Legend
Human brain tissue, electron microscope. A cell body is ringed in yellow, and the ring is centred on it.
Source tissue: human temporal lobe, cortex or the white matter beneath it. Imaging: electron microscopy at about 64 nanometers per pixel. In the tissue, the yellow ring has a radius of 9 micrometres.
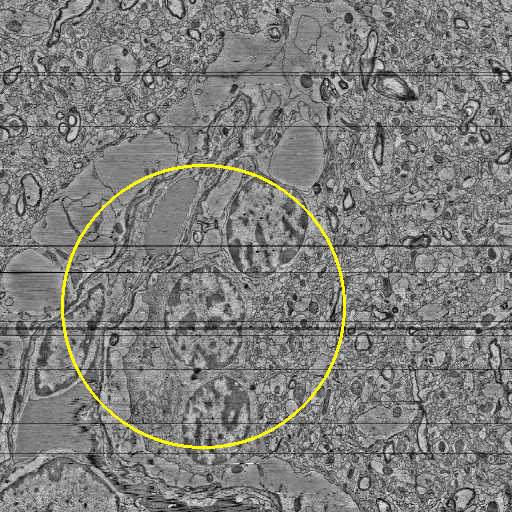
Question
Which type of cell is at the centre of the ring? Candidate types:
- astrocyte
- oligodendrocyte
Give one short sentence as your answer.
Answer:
The yellow ring is centred here on an oligodendrocyte.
